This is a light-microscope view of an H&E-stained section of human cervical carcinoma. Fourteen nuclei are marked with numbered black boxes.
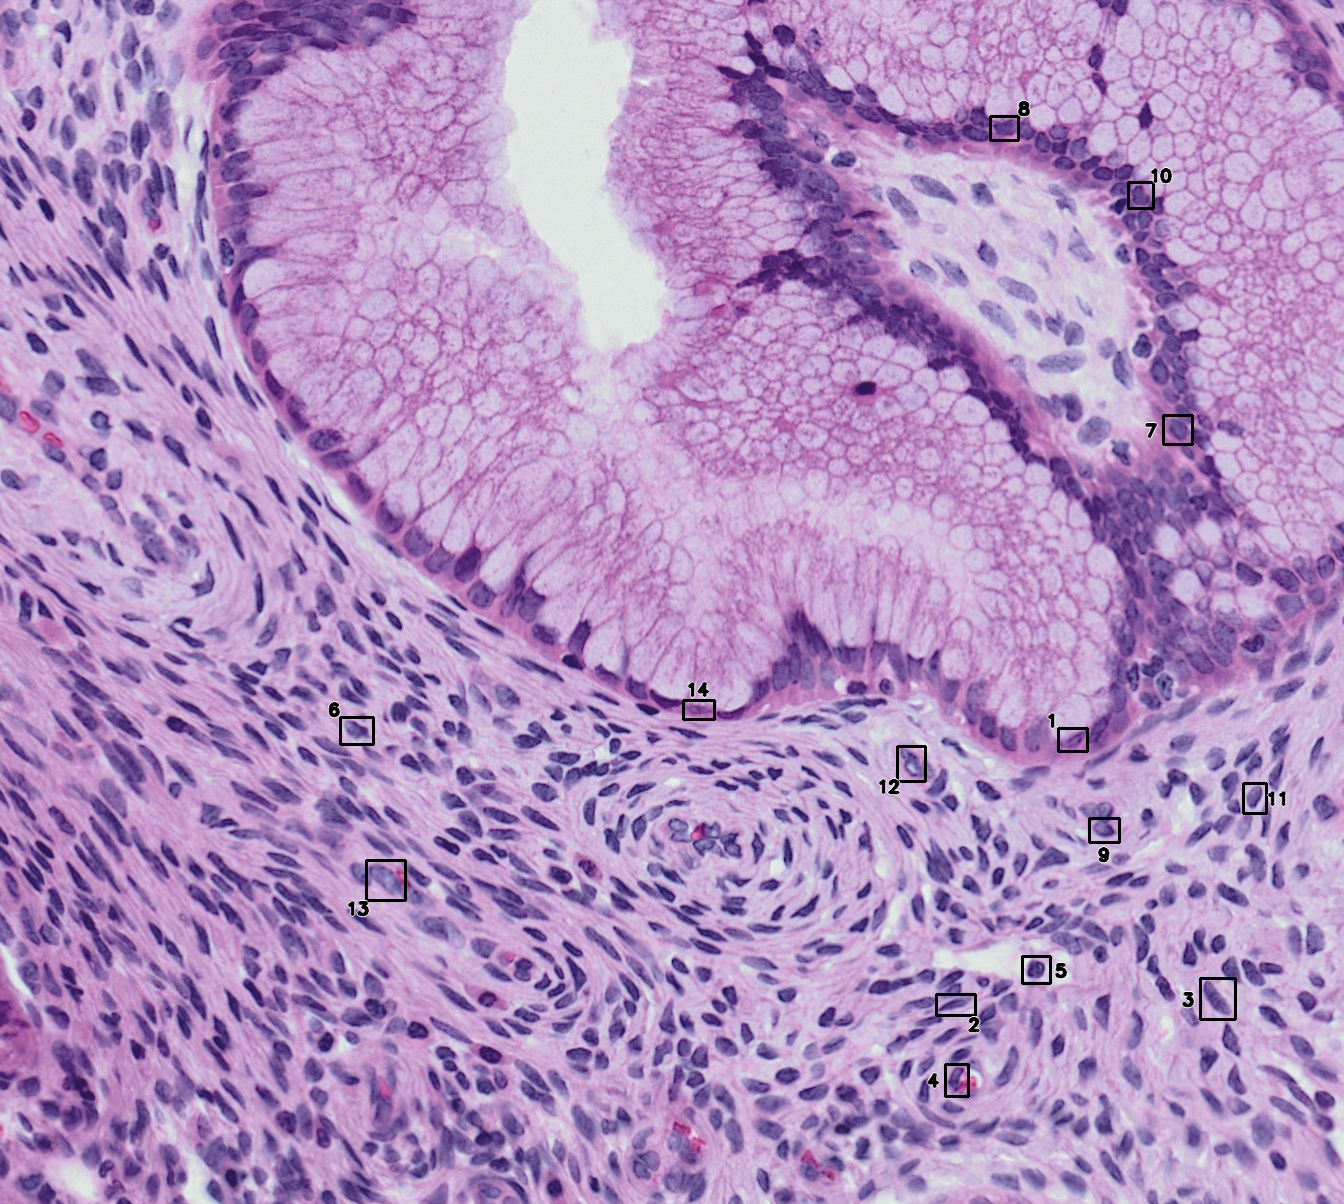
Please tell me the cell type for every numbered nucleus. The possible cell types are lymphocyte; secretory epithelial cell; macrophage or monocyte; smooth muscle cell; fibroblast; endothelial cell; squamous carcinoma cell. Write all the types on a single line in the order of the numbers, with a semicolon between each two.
secretory epithelial cell; fibroblast; fibroblast; endothelial cell; lymphocyte; fibroblast; secretory epithelial cell; secretory epithelial cell; endothelial cell; secretory epithelial cell; fibroblast; endothelial cell; endothelial cell; secretory epithelial cell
